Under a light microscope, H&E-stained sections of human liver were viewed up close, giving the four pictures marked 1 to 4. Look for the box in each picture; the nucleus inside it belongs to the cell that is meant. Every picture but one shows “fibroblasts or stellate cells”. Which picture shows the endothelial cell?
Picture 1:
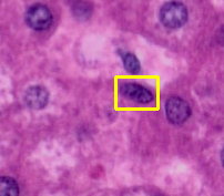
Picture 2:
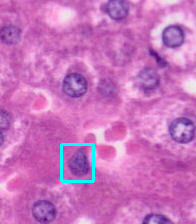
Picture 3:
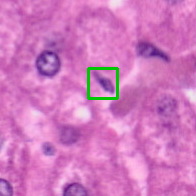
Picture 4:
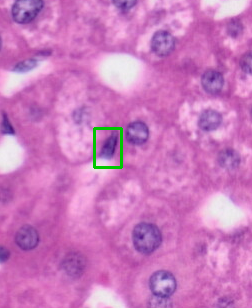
3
